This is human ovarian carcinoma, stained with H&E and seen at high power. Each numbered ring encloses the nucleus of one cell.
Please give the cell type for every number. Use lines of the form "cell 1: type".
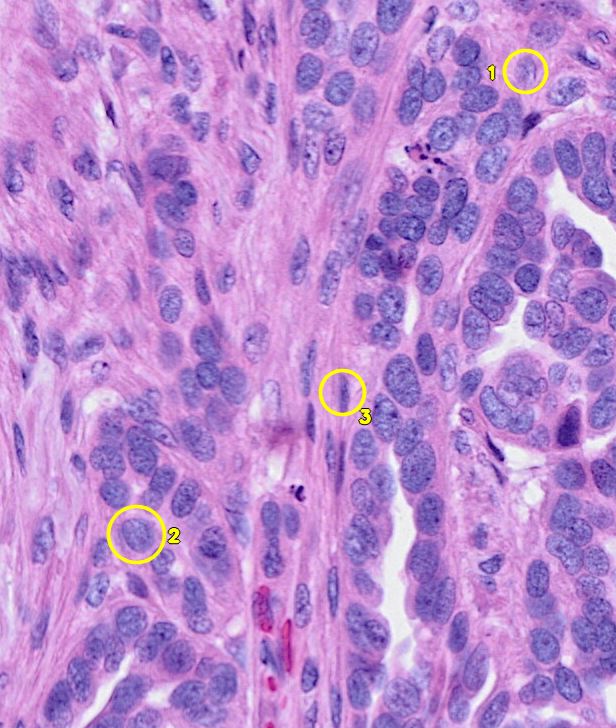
cell 1: fibroblast
cell 2: carcinoma cell
cell 3: fibroblast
